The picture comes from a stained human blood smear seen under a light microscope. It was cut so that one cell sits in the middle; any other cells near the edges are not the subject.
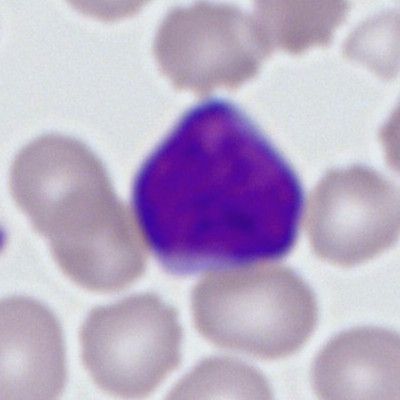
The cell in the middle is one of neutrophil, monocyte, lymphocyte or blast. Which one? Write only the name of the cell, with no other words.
blast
